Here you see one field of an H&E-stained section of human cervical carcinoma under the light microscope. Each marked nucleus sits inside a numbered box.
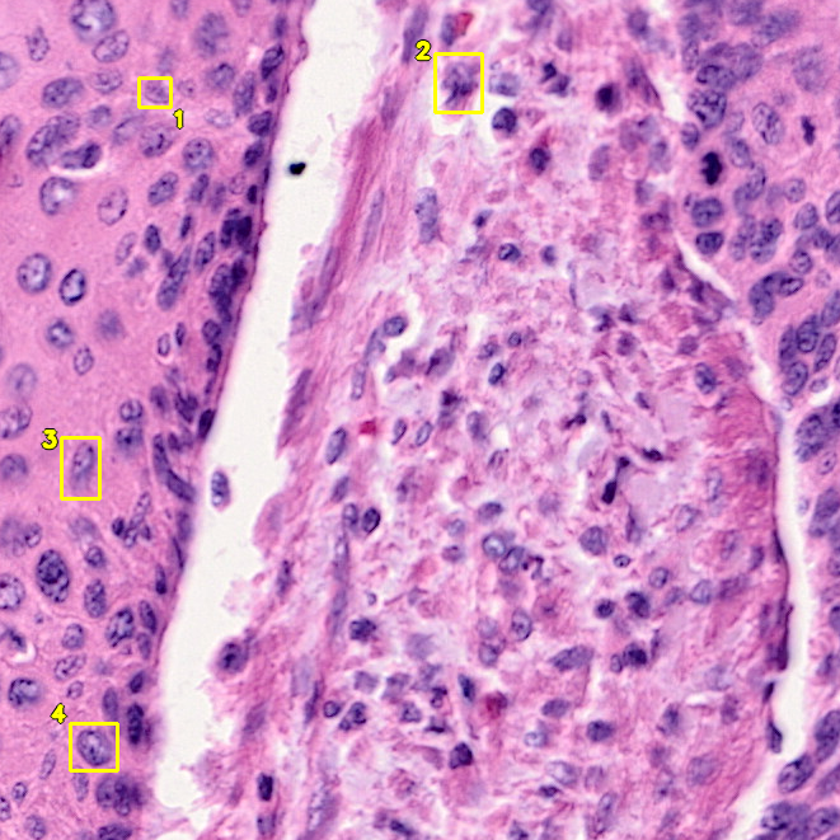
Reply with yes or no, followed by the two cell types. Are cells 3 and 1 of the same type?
Yes, cells 3 and 1 have the same identity; both are squamous carcinoma cells.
